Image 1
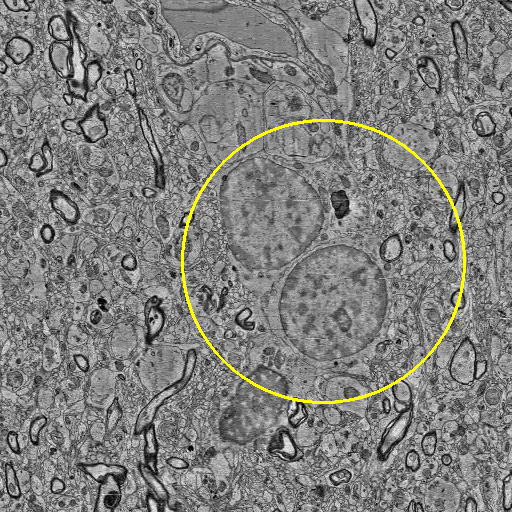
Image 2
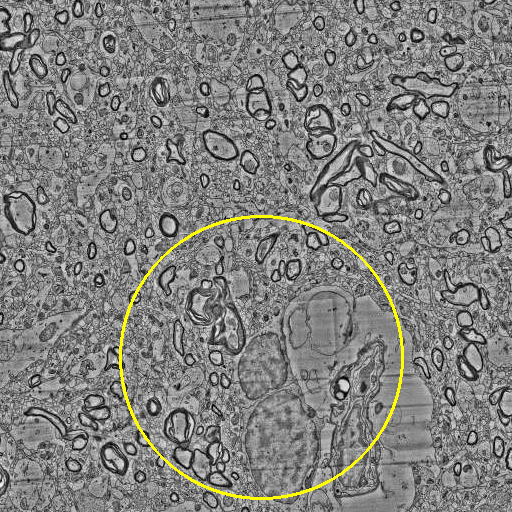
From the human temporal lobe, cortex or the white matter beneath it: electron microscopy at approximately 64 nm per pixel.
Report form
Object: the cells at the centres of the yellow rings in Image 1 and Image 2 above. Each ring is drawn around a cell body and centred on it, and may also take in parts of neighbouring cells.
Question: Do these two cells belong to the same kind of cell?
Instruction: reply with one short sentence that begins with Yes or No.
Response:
Yes, both belong to the same kind of cell.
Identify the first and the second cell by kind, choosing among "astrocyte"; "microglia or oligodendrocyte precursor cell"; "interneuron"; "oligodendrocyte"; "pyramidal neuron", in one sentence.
The first and the second cell are each an oligodendrocyte.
